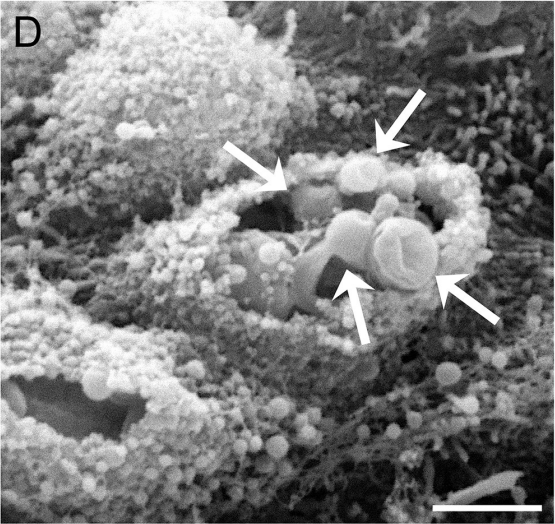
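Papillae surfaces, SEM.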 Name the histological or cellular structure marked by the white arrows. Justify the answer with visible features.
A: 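Smooth rounded swollen bodies lie inside an opened, rimmed structure. The opened structure has a granular rim. The answer: Paddle cilia-like structures.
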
